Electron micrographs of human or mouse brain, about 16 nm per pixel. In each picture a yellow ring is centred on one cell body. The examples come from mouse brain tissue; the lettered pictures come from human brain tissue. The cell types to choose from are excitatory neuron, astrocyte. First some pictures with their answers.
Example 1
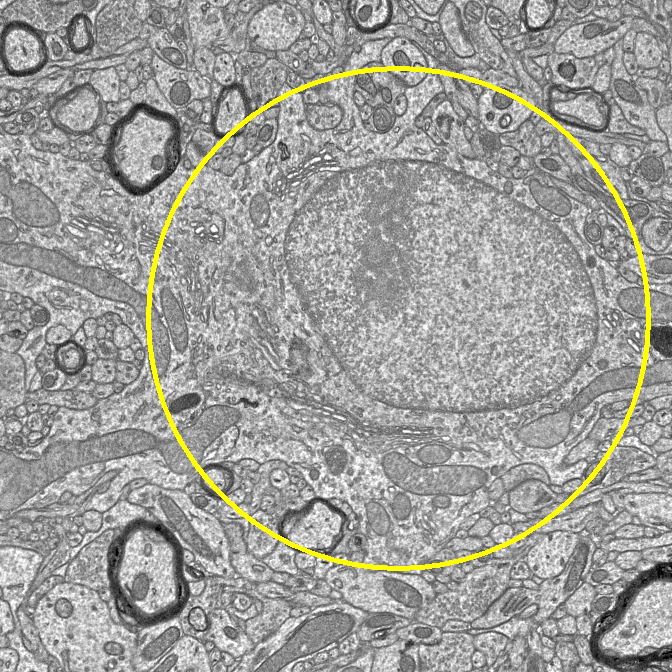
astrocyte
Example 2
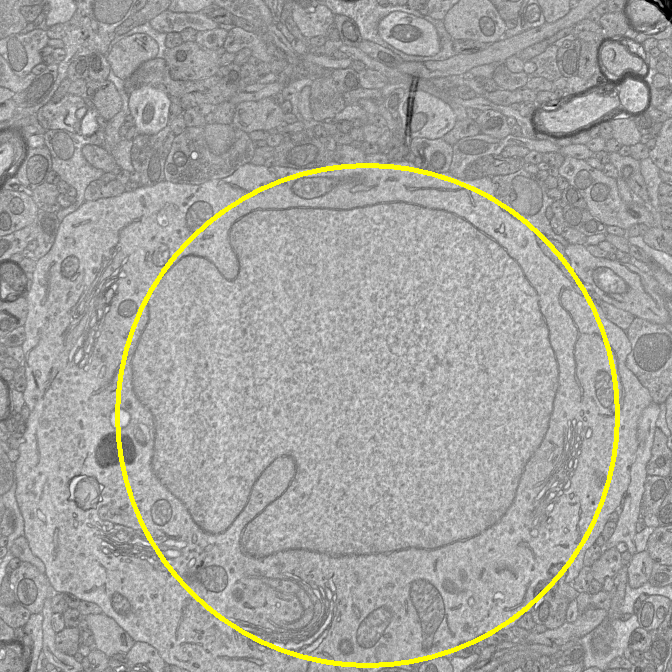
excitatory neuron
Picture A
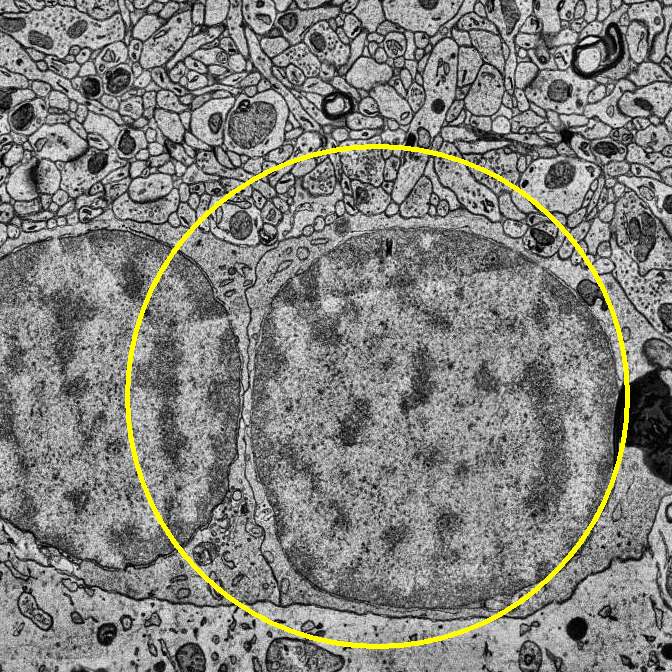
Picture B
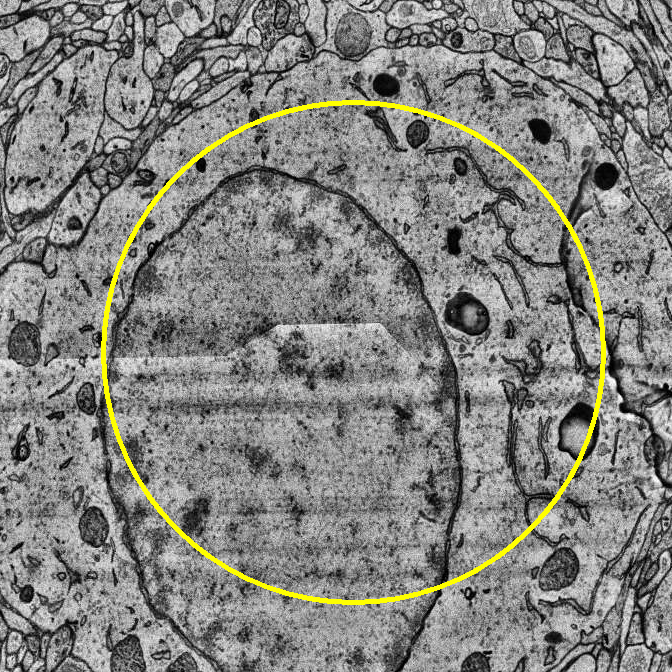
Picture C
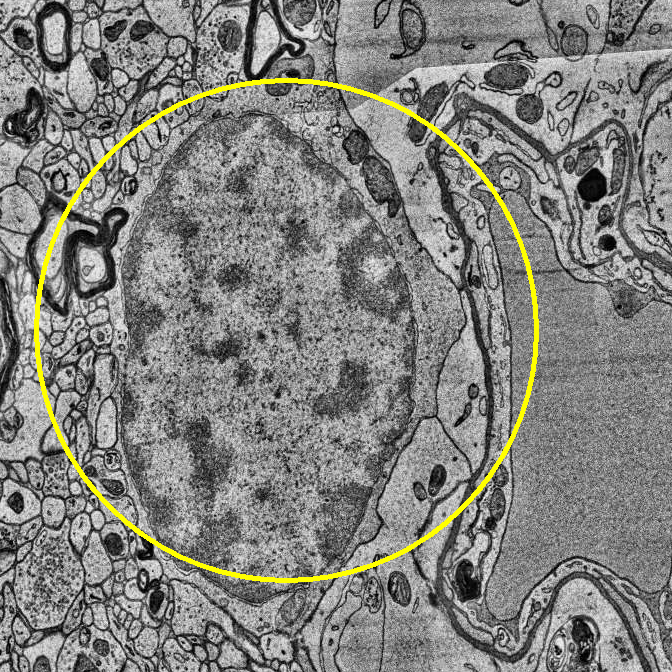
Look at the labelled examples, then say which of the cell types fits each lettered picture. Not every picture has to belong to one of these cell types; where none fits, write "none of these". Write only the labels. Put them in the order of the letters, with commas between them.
none of these, excitatory neuron, none of these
